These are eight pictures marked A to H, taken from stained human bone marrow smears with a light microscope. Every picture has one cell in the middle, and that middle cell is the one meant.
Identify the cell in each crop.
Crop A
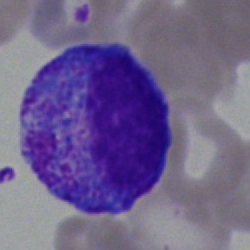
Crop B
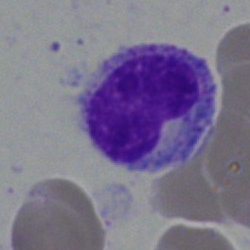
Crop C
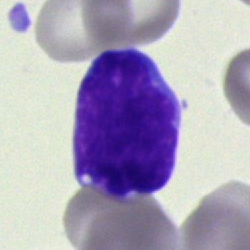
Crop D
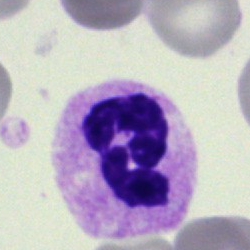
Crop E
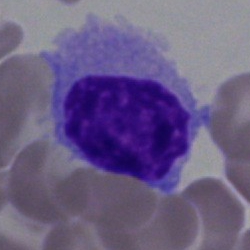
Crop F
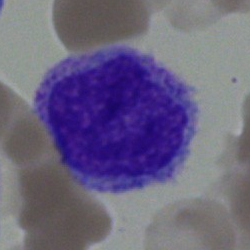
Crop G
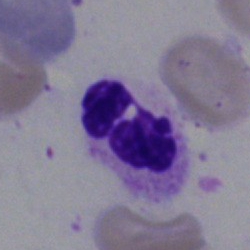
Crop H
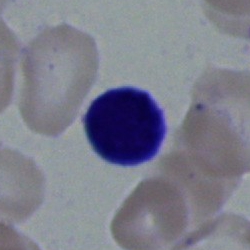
A: promyelocyte
B: metamyelocyte
C: blast
D: segmented neutrophil
E: hairy cell
F: monocyte
G: segmented neutrophil
H: lymphocyte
